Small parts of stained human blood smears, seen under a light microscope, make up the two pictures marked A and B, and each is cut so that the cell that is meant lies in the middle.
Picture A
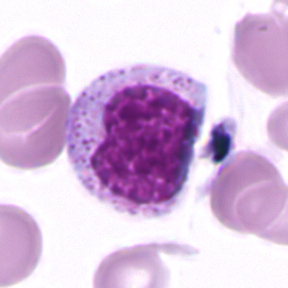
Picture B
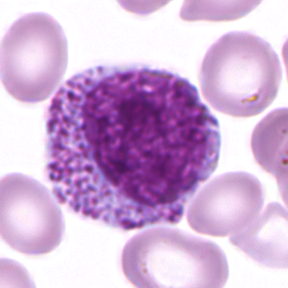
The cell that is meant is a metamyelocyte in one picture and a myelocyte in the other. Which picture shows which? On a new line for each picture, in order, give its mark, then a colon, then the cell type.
A: metamyelocyte
B: myelocyte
